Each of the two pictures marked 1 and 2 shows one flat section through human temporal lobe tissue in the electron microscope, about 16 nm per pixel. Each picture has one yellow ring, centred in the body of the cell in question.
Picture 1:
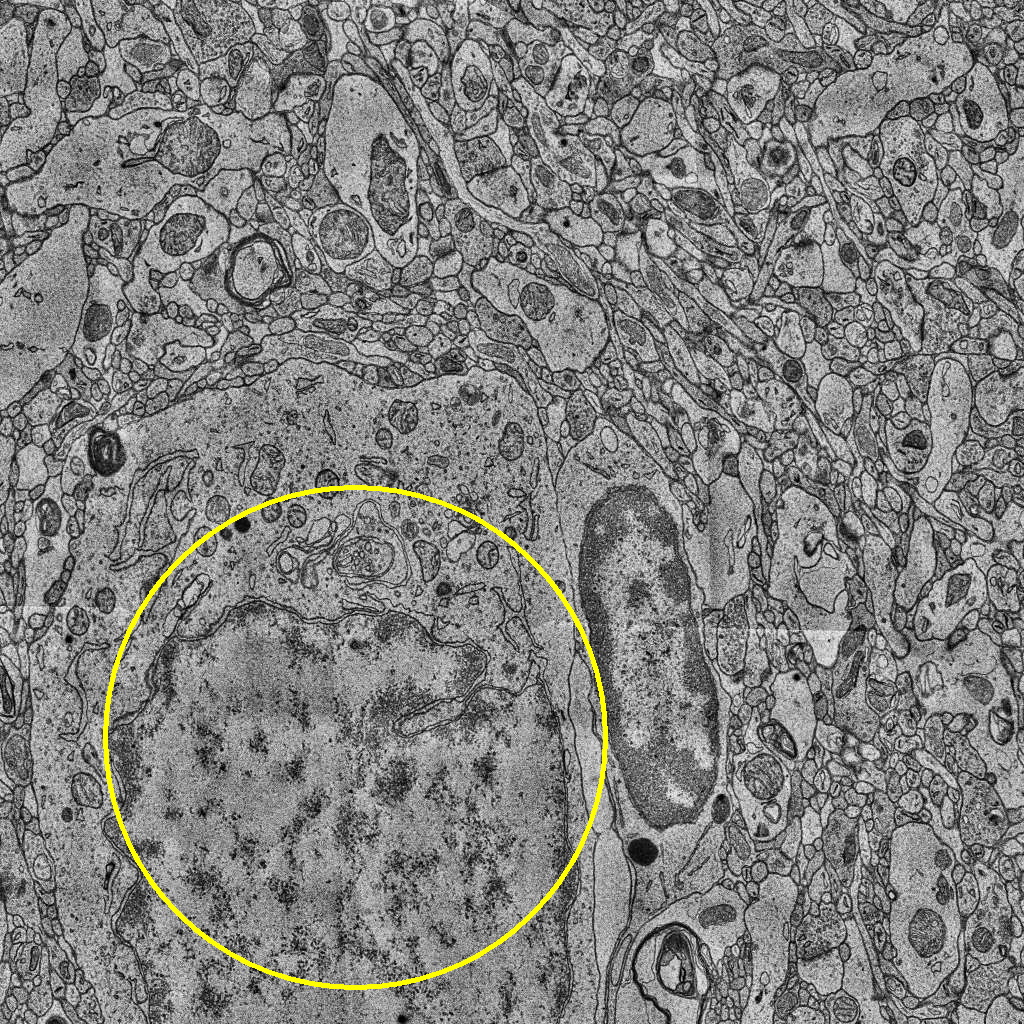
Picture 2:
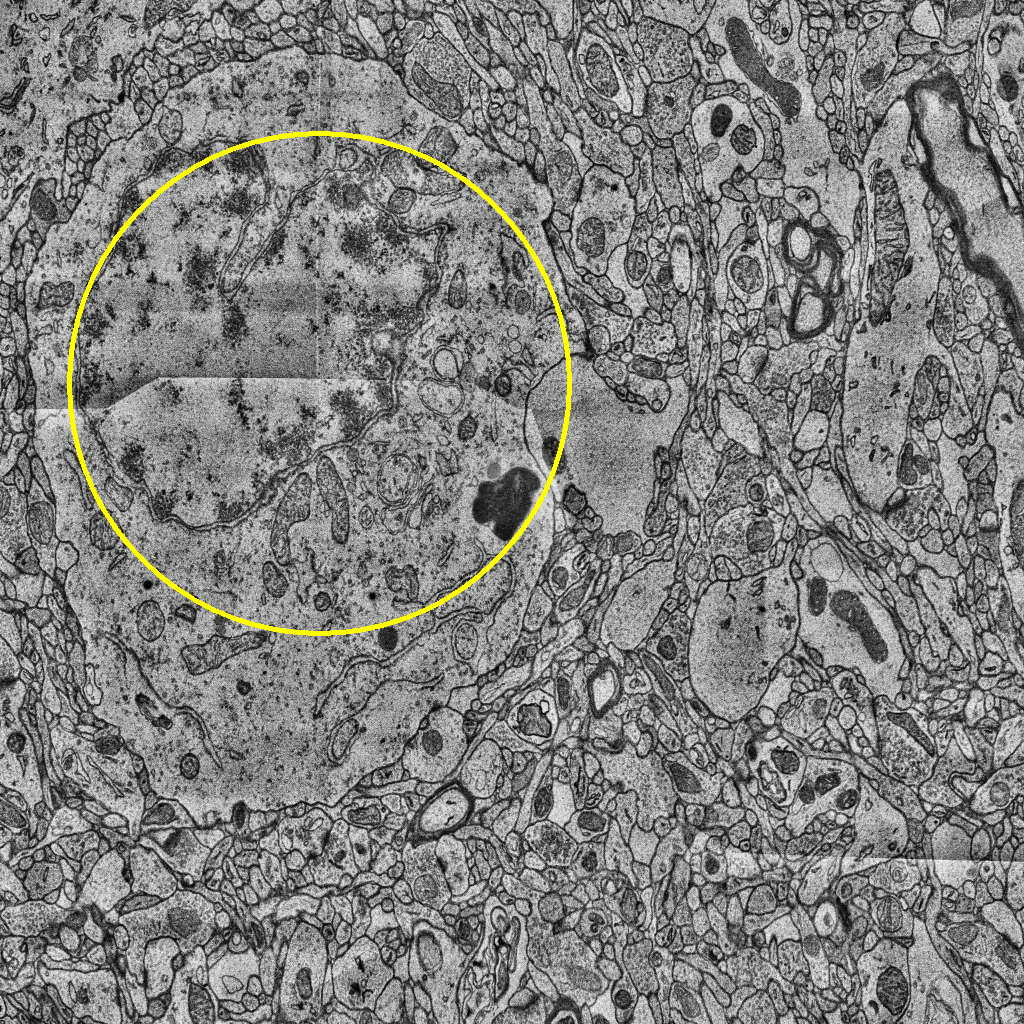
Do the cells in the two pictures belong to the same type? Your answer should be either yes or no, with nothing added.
yes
